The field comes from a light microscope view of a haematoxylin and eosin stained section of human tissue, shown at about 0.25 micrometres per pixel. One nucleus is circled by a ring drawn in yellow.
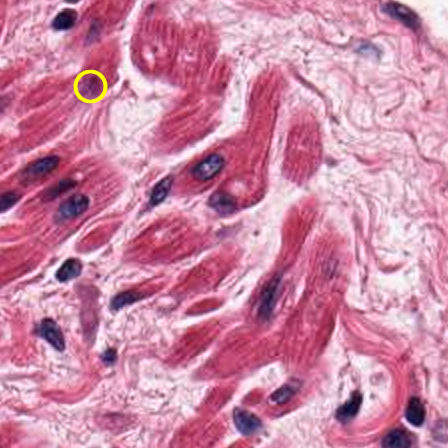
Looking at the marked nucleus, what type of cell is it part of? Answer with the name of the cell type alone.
cardiomyocyte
